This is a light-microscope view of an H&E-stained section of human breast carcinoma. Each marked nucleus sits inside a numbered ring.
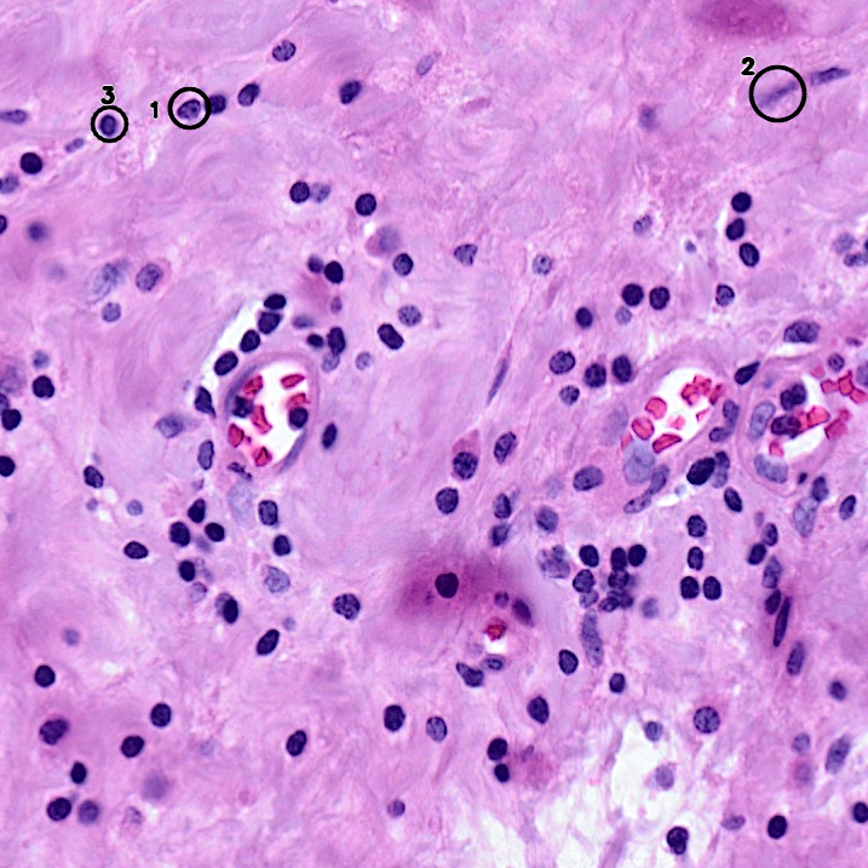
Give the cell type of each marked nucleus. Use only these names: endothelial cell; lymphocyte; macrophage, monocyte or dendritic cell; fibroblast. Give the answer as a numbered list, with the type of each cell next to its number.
1. lymphocyte
2. fibroblast
3. lymphocyte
